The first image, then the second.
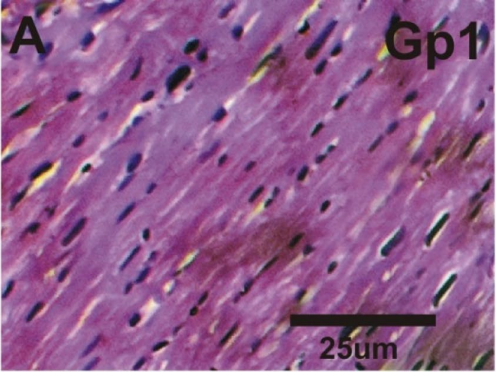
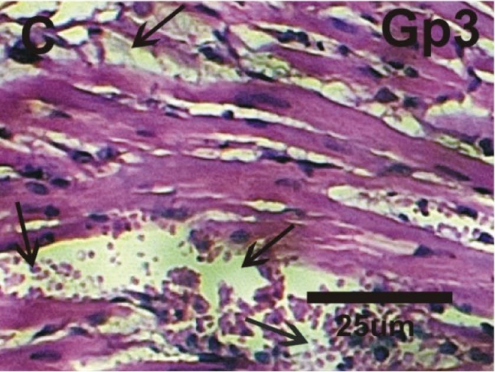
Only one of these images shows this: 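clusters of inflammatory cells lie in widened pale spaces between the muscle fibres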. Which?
the second image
